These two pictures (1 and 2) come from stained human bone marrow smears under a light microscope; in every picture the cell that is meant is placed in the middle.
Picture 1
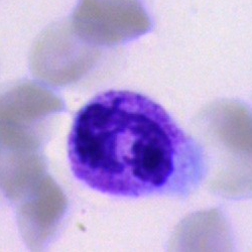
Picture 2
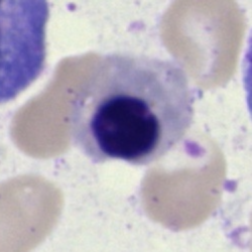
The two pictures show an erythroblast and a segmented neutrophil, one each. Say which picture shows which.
1: segmented neutrophil
2: erythroblast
